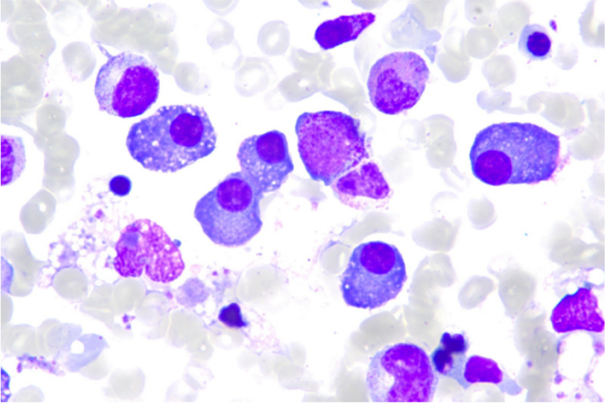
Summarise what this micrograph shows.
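This bone marrow smear shows many plasma cells lying among red cells and granulocytic precursors. The plasma cells are round to oval, with abundant deep blue cytoplasm and a round nucleus set towards one side of the cell. The nuclear chromatin is dense and purple. Several of these cells have small clear vacuoles scattered through the cytoplasm. Granulocytic cells, which have pinkish-purple granular cytoplasm, lie between them, and pale red cells fill the background.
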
